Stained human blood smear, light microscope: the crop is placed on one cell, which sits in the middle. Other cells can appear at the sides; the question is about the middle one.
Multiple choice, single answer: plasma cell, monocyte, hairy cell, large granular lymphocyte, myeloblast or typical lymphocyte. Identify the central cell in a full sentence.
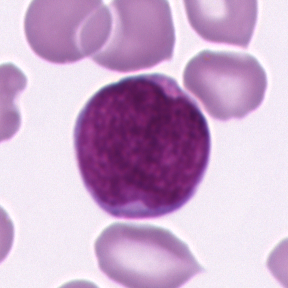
Of the cells in this crop, the central one is a myeloblast.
